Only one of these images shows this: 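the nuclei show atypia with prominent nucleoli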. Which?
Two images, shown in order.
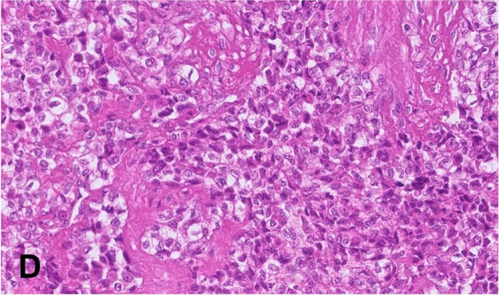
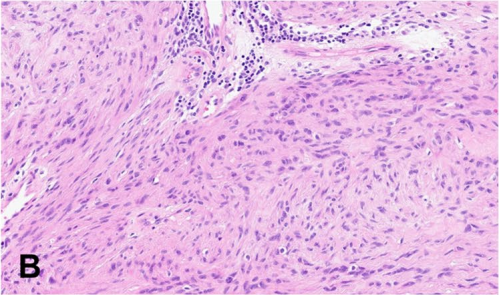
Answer: The first image.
